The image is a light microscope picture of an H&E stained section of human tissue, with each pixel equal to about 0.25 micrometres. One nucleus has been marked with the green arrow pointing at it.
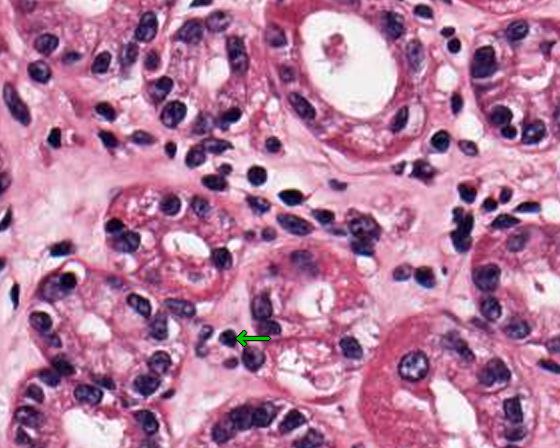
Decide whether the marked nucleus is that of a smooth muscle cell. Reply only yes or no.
no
